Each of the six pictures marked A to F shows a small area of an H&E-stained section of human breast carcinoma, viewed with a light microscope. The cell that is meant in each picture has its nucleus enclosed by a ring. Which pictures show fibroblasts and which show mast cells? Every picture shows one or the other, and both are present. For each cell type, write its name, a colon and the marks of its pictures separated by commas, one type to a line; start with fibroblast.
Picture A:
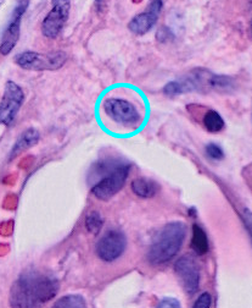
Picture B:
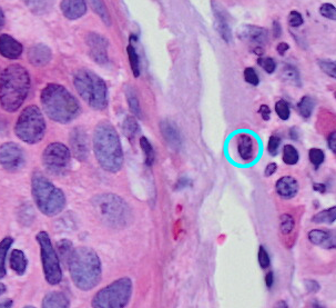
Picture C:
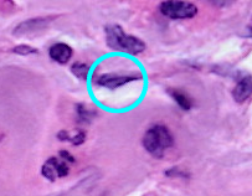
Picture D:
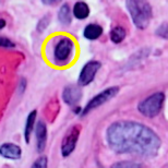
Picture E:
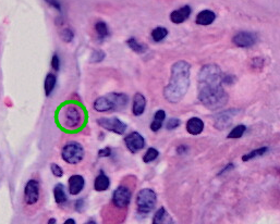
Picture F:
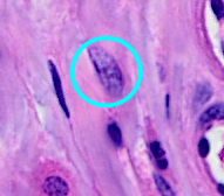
fibroblast: C, F
mast cell: A, B, D, E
